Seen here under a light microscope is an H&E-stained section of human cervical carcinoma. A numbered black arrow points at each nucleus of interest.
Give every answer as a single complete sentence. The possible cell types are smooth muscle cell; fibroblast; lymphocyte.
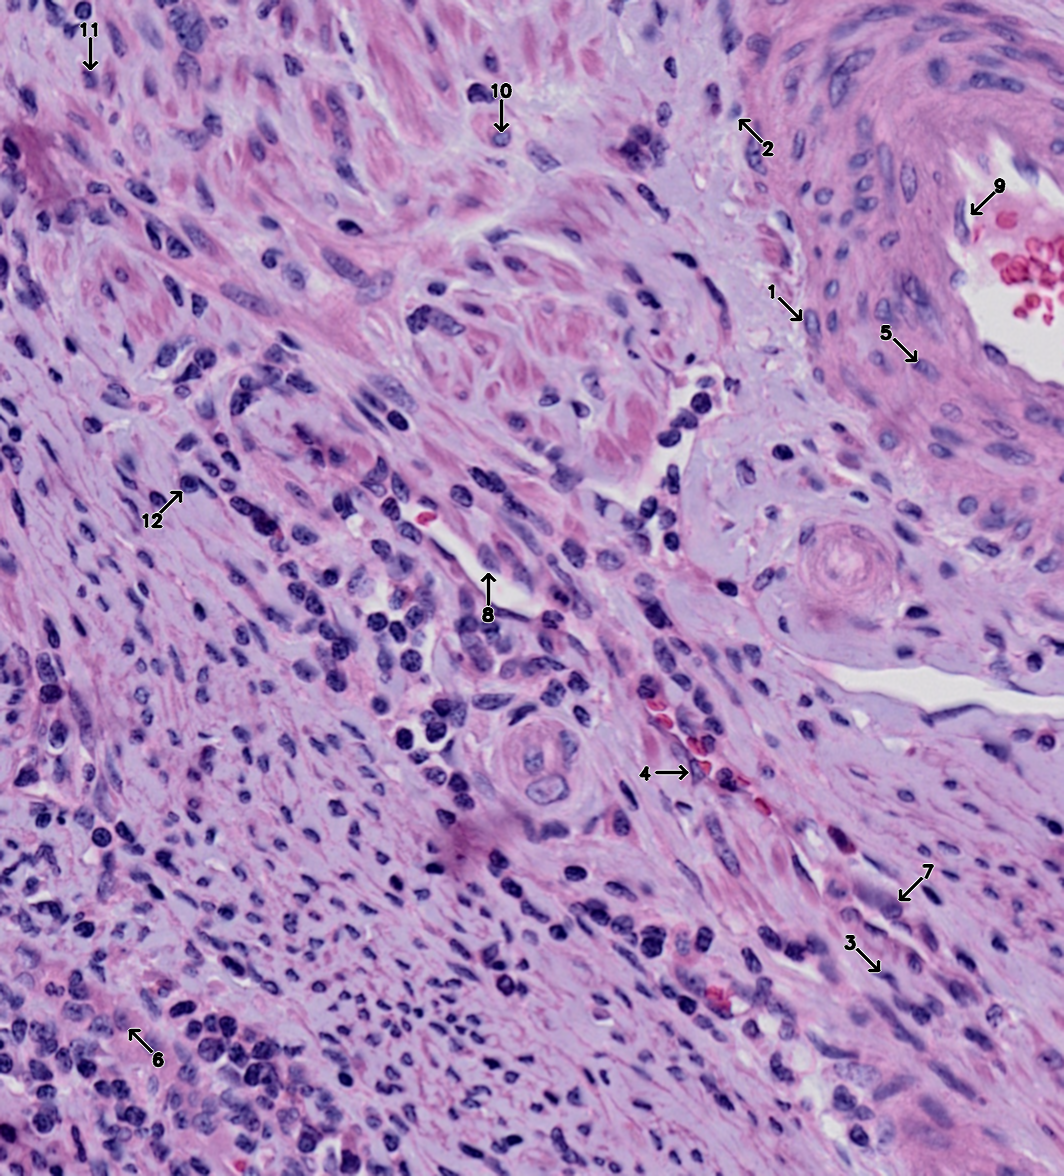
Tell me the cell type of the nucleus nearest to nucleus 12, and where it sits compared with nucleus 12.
The nearest one is a fibroblast, found to the right of nucleus 12.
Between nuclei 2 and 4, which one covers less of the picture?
With nucleus 4 about 1.5 times its size, nucleus 2 is the smaller of the two.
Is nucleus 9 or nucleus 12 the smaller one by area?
Nucleus 12 covers less area, with nucleus 9 about 2 times as large.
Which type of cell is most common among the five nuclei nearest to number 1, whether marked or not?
Around number 1, most of the five nearest nuclei are those of smooth muscle cells.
